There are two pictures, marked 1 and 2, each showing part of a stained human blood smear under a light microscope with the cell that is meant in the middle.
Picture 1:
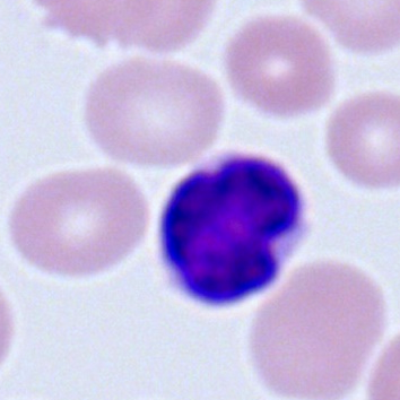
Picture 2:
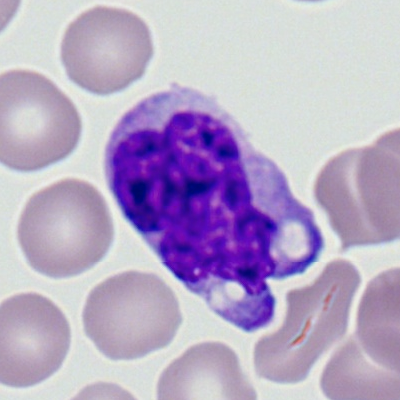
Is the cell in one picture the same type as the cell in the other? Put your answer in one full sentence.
No, they differ: the cell is a lymphocyte in picture 1 and a monocyte in picture 2.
